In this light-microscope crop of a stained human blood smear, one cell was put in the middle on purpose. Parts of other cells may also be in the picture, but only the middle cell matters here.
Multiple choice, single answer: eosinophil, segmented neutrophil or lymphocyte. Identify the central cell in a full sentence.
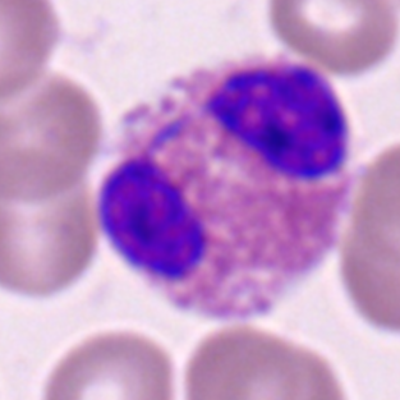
Positioned in the middle of the crop is an eosinophil.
